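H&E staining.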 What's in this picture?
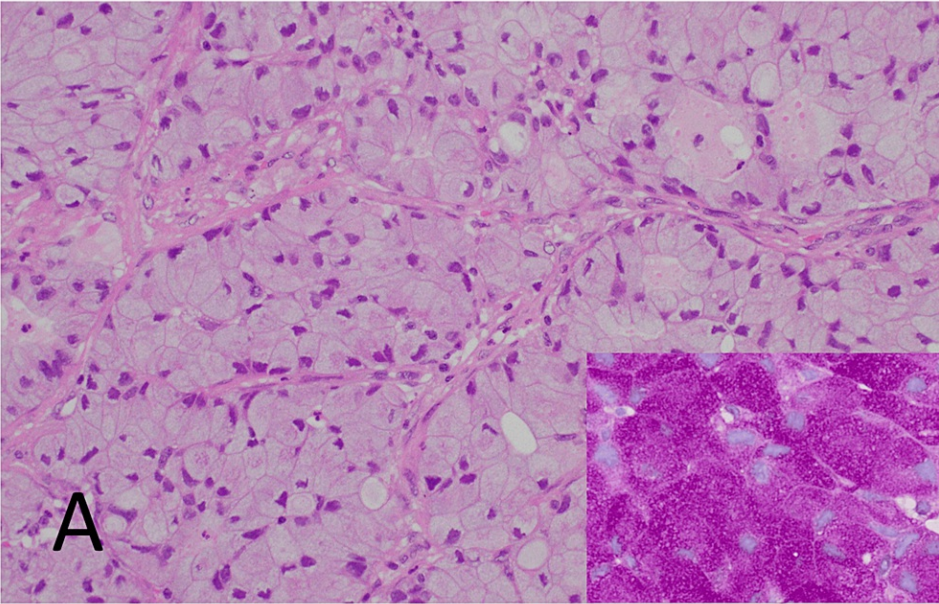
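Signet-ring cells of a carcinoma fill this field, lying in solid nests separated by thin pink fibrovascular septa with slender capillaries. The cells are large and polygonal with sharp cell borders and abundant pale, finely foamy to clear cytoplasm. Their nuclei are small, dark and compressed to one side of the cell, often flattened or crescent-shaped. A few small round clear spaces are scattered among the cells. In the inset the cytoplasm of the tumour cells is filled with intense granular magenta stain, while the nuclei remain pale blue.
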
